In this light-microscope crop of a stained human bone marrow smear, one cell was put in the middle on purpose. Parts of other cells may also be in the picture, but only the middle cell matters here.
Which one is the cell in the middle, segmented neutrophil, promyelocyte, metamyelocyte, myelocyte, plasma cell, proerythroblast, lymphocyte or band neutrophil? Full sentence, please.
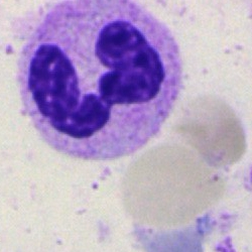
The middle position in this crop is taken by a segmented neutrophil.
